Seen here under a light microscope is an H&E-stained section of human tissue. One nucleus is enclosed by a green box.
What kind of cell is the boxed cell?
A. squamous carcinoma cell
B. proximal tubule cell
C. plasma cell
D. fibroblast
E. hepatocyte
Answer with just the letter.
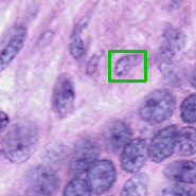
D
